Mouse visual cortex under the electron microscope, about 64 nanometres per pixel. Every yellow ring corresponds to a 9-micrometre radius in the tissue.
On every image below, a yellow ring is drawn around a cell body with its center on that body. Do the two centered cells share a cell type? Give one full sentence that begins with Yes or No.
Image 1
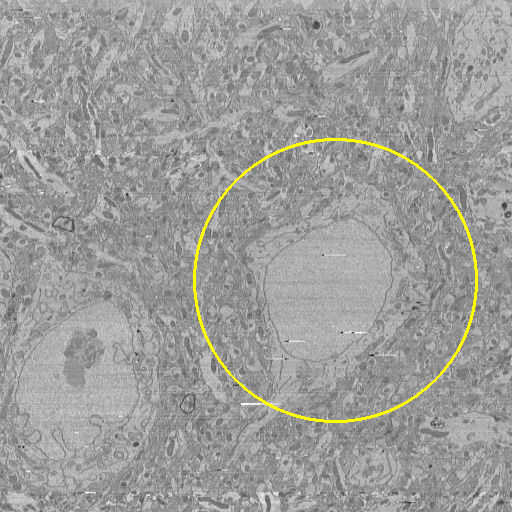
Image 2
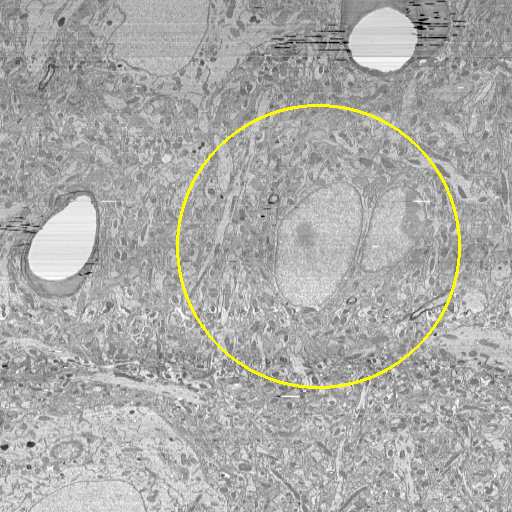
No, the centered cells in the two images are of two separate cell types.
